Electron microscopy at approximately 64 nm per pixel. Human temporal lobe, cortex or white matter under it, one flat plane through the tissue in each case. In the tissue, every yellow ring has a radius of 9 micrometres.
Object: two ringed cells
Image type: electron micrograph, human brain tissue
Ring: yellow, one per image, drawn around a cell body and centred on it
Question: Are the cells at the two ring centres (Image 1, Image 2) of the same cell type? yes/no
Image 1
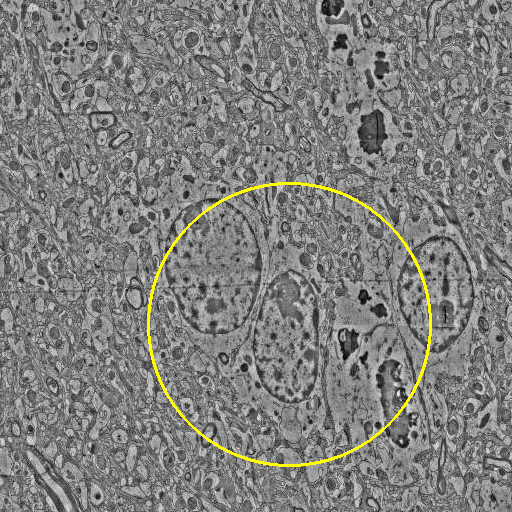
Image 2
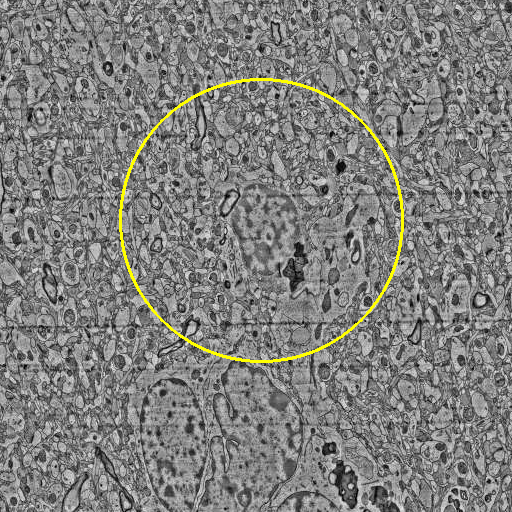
no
